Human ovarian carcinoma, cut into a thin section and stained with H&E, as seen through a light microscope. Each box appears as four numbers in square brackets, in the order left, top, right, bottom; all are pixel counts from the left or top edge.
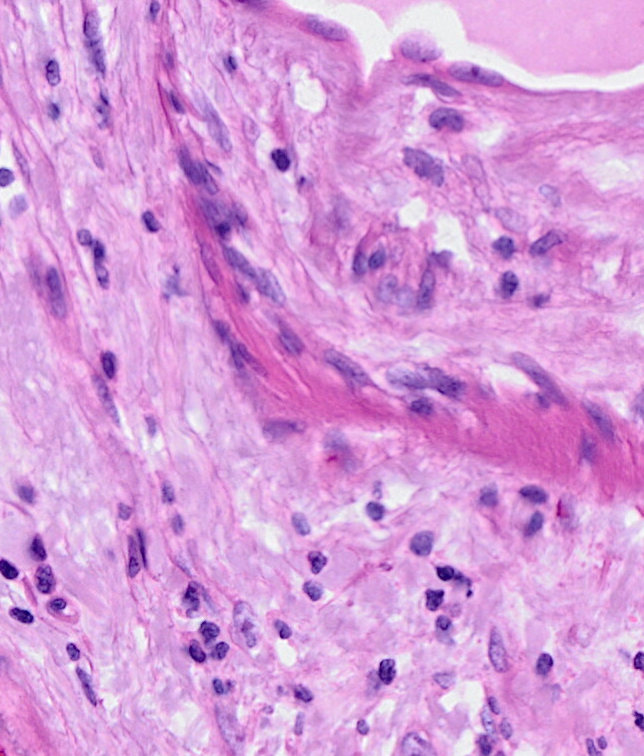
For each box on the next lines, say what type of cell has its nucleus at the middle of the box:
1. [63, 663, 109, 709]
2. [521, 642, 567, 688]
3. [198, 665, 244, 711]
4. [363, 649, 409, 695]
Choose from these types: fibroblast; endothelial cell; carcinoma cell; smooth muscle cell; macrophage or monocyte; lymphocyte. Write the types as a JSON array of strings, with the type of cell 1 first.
["fibroblast", "lymphocyte", "lymphocyte", "lymphocyte"]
